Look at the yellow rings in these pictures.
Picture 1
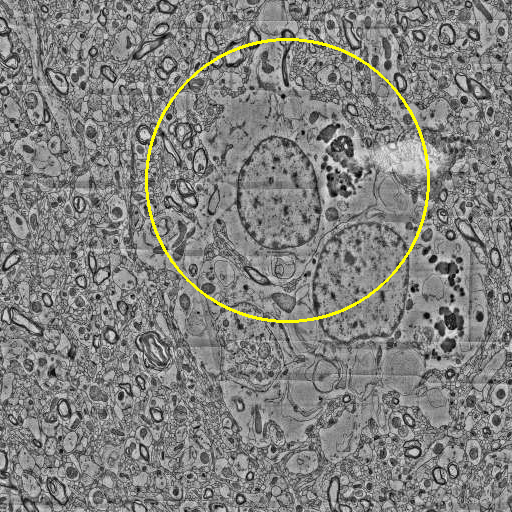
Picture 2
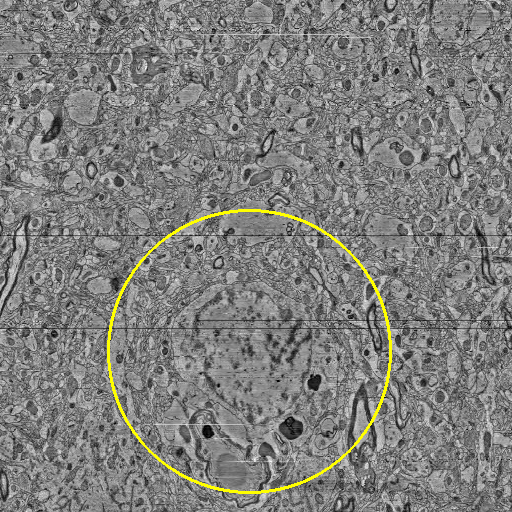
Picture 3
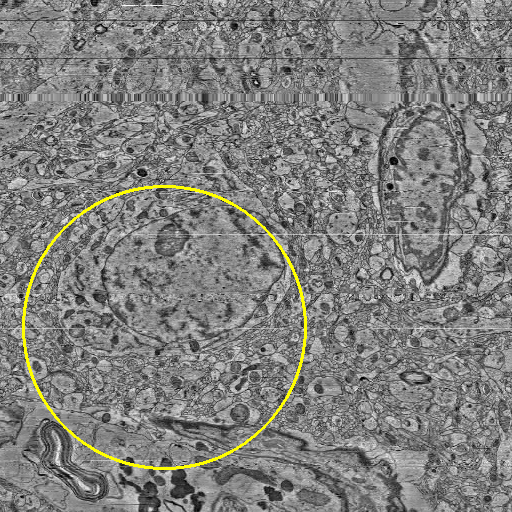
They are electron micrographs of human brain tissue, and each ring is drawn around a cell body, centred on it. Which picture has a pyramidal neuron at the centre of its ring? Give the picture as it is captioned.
Picture 3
